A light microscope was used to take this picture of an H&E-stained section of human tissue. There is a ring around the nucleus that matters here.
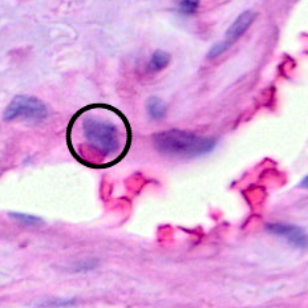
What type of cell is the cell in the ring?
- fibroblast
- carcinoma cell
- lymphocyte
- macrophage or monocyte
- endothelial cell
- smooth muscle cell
endothelial cell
